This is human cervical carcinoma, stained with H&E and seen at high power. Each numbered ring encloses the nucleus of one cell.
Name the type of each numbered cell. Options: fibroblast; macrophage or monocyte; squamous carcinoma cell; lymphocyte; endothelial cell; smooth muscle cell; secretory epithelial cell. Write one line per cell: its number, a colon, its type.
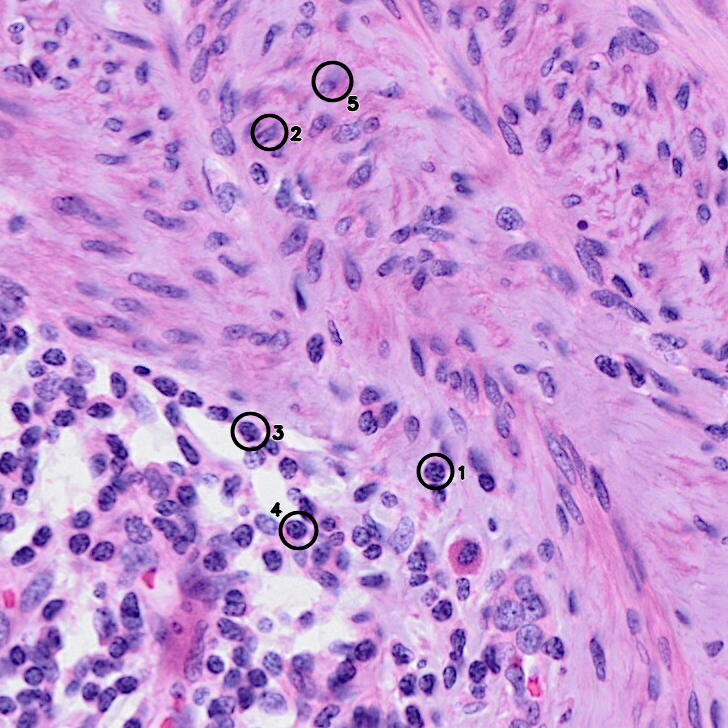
1: lymphocyte
2: smooth muscle cell
3: lymphocyte
4: lymphocyte
5: smooth muscle cell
